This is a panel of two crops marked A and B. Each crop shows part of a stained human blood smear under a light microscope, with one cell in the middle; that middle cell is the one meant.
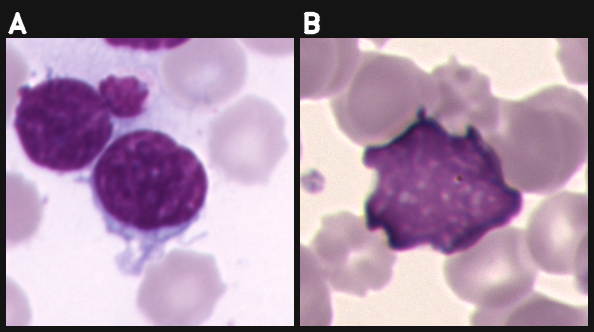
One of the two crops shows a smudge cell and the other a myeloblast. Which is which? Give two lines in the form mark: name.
A: myeloblast
B: smudge cell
